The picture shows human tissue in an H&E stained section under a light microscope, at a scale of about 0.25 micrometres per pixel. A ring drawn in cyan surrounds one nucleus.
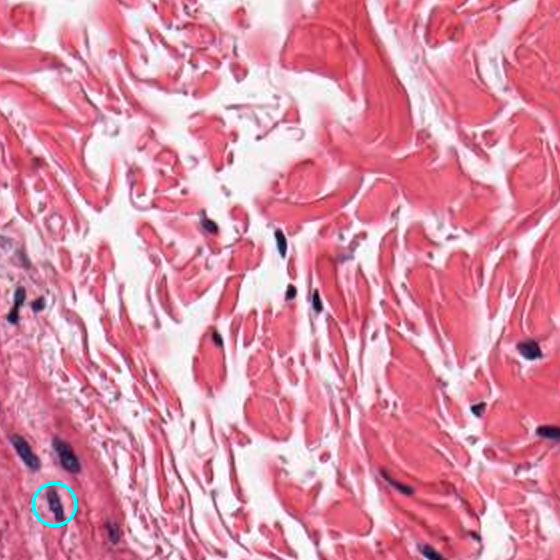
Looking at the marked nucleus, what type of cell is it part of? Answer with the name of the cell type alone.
smooth muscle cell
